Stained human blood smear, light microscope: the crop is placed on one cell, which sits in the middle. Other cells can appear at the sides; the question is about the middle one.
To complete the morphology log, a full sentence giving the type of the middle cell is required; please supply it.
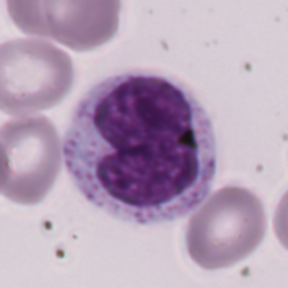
In the crop, the cell of interest at the centre is a metamyelocyte.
